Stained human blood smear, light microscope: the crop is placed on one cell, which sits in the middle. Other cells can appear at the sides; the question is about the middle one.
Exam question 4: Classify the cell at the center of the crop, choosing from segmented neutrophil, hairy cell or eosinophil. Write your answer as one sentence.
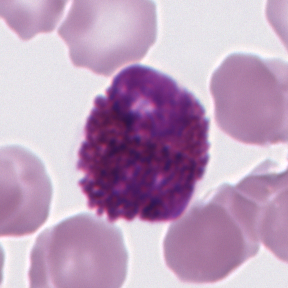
Occupying the centre of the crop is an eosinophil.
